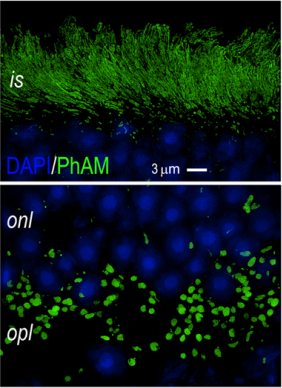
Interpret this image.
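In the upper part, a dense palisade of long, thin green threads runs roughly vertically above a row of blue nuclei. Below, the blue nuclei are tightly packed in a thick layer with little green among them. At the bottom of the nuclear layer, green forms many small rounded clusters scattered in a band. The threads above and the clusters below are clearly different in shape.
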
